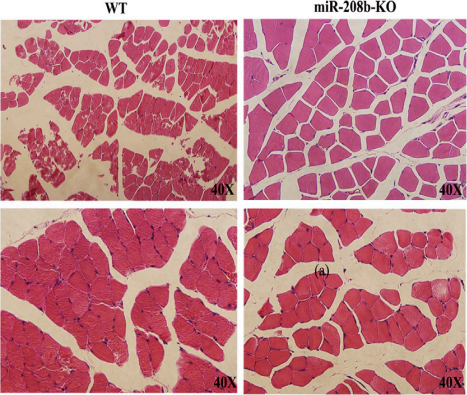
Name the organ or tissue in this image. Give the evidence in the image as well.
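Polygonal pink fibers cut in cross section packed in bundles. Small dark nuclei sit at the edges of the fibers. Pale spaces separate groups of fibers into bundles.
Conclusion: skeletal muscle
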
